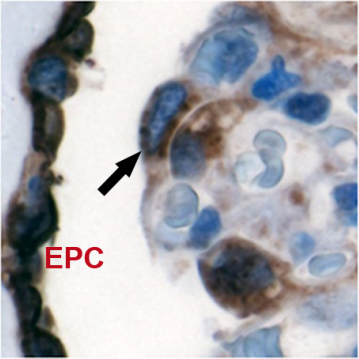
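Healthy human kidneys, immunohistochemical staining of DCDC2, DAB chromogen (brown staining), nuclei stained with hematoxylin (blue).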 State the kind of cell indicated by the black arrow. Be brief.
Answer: podocytes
